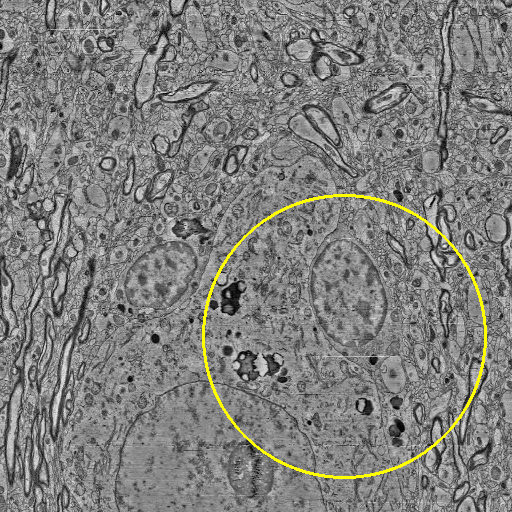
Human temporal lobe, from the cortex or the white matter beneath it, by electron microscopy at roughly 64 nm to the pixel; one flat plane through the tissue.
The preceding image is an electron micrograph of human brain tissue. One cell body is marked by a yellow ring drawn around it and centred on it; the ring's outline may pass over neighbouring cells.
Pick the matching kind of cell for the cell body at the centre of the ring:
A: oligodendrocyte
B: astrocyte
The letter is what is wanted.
A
